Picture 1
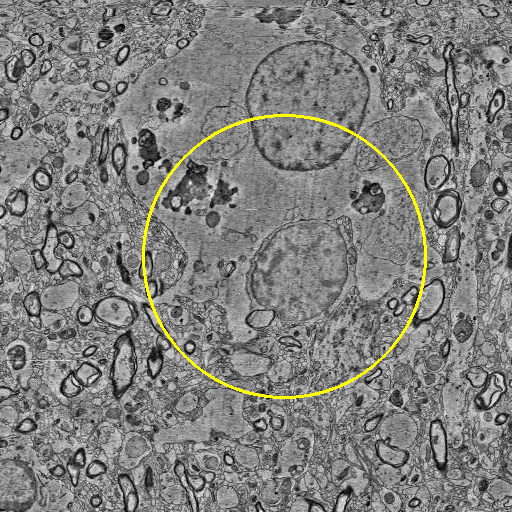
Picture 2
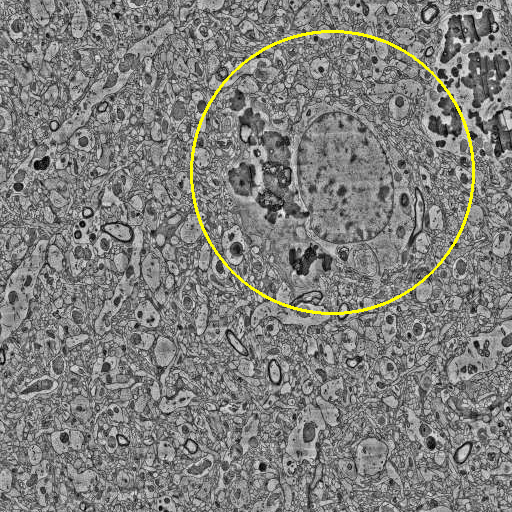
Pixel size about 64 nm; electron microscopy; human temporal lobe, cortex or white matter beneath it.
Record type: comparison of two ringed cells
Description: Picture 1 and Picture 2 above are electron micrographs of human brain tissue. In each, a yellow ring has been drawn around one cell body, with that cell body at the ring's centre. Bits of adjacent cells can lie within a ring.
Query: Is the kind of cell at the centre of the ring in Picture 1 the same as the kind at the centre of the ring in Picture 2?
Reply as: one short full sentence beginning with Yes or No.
No, the two ringed cells are of two separate kinds.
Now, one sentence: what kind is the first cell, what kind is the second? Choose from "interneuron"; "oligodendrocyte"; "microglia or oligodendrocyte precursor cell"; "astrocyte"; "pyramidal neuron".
The first picture has an oligodendrocyte at its ring centre, and the second has an astrocyte.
